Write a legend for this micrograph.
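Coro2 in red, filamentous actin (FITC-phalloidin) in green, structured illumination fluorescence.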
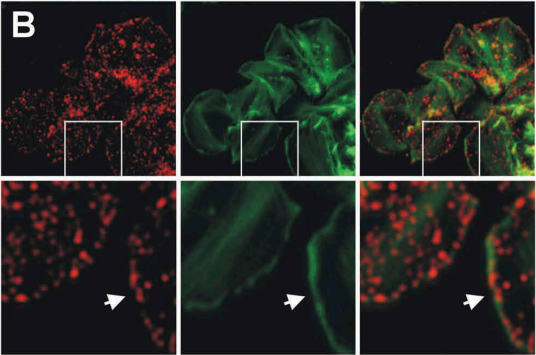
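Green filaments run as fine bundles and outline each cell with a thin bright border. Red appears as discrete dots scattered over the cell bodies. In the enlarged region, red dots line up along the green cell edge.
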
